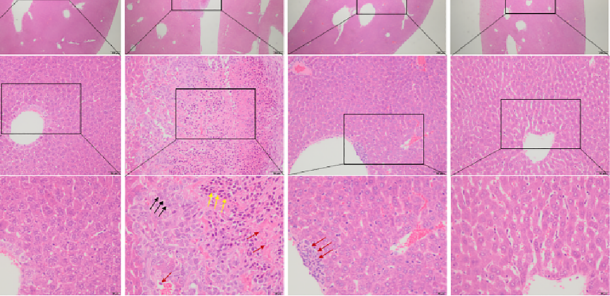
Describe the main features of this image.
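In the first, third and fourth columns the hepatocytes form fairly even sheets around the central veins. In the second column the middle and bottom views show a crowded, darker region where the orderly rows of hepatocytes are lost. In that region there is a cluster of cells with dark, crowded nuclei, and small, dark, round nuclei of inflammatory cells are scattered among the liver cells. A few similar small dark nuclei are also marked in the bottom image of the third column.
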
